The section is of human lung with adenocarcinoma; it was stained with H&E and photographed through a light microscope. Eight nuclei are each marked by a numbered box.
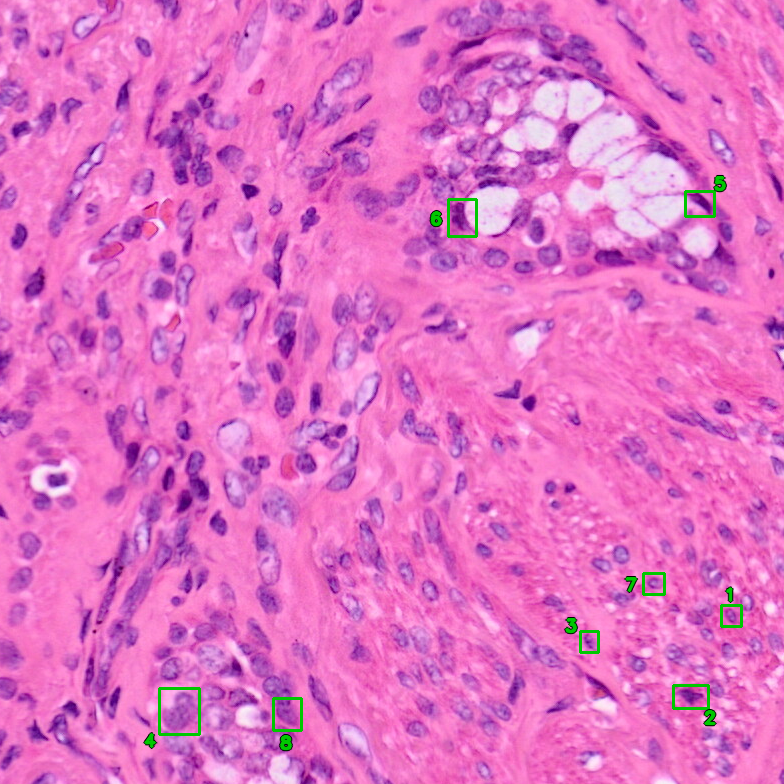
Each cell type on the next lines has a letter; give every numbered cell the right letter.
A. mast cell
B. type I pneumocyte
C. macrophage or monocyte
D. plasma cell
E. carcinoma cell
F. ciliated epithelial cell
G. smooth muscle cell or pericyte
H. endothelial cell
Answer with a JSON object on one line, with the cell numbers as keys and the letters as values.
{"1": "G", "2": "G", "3": "G", "4": "F", "5": "F", "6": "F", "7": "G", "8": "F"}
